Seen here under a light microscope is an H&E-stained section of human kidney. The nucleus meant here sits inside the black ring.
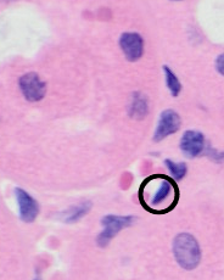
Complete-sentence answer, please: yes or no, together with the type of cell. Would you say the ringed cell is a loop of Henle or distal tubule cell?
No, the ringed cell is an endothelial cell; calling it a loop of Henle or distal tubule cell would be wrong.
